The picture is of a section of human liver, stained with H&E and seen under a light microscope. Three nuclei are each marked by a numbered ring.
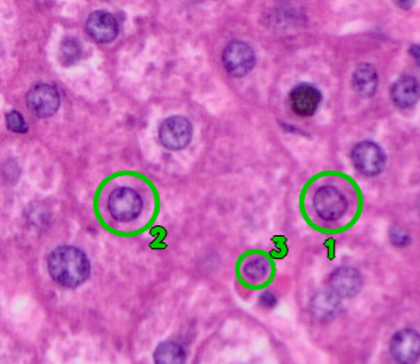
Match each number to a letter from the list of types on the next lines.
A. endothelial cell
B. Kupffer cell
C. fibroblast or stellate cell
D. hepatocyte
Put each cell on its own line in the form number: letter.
1: D
2: D
3: B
